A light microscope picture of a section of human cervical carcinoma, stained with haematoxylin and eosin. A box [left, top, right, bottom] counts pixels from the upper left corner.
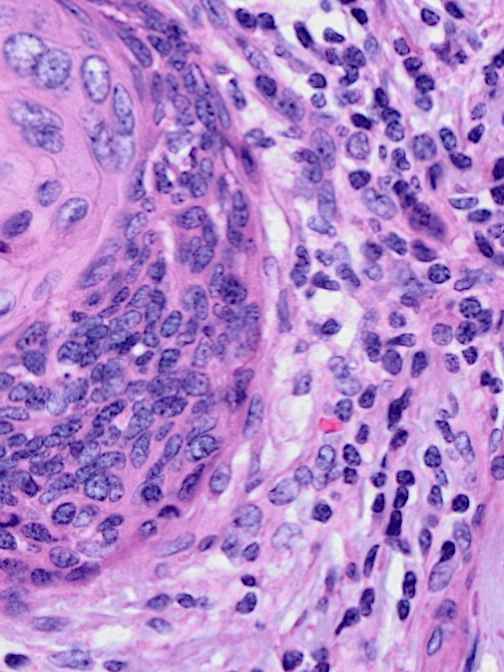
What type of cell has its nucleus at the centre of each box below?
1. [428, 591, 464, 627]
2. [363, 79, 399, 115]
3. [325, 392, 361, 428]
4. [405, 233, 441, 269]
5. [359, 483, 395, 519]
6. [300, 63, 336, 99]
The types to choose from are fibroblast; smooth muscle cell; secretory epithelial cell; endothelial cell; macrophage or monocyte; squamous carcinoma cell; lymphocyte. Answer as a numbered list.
1. endothelial cell
2. lymphocyte
3. endothelial cell
4. lymphocyte
5. lymphocyte
6. lymphocyte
